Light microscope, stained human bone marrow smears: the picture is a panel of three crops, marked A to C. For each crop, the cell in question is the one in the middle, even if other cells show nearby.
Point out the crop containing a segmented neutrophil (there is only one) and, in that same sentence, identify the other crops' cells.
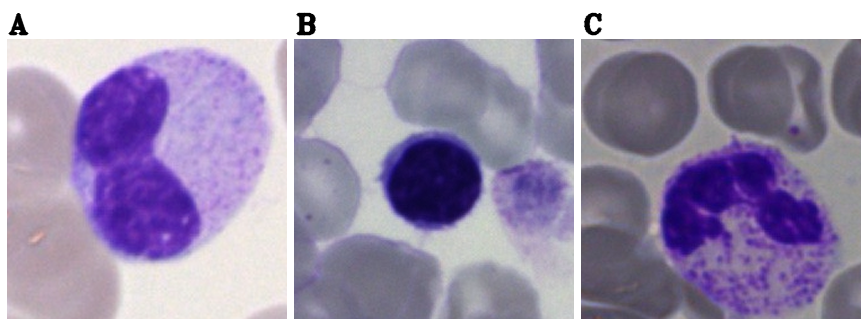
Of the crops, crop C shows a segmented neutrophil, while crop A is a band neutrophil and crop B is a lymphocyte.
